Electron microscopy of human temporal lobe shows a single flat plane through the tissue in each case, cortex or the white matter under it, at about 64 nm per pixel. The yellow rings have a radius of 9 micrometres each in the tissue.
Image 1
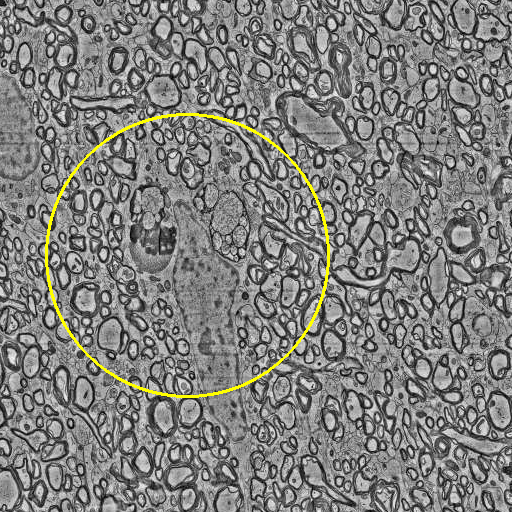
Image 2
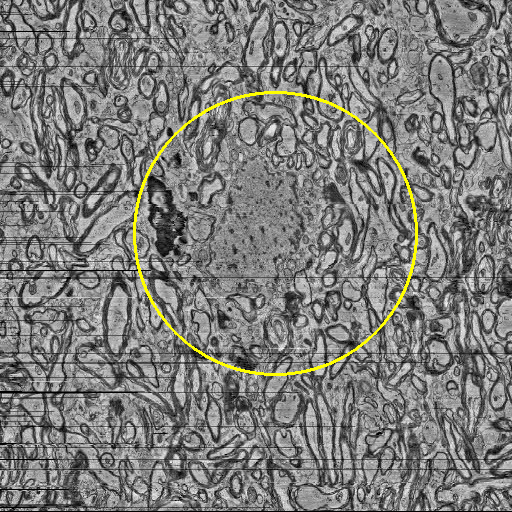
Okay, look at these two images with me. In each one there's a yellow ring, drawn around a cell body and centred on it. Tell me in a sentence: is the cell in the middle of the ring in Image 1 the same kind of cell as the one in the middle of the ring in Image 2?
Yes, they're the same kind of cell.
